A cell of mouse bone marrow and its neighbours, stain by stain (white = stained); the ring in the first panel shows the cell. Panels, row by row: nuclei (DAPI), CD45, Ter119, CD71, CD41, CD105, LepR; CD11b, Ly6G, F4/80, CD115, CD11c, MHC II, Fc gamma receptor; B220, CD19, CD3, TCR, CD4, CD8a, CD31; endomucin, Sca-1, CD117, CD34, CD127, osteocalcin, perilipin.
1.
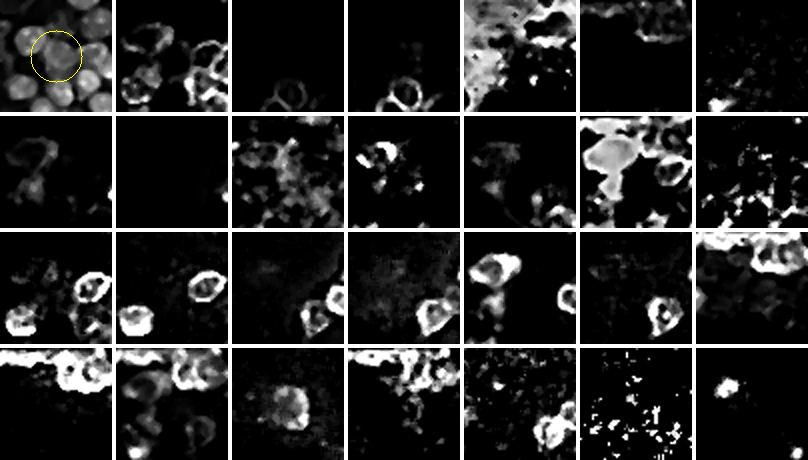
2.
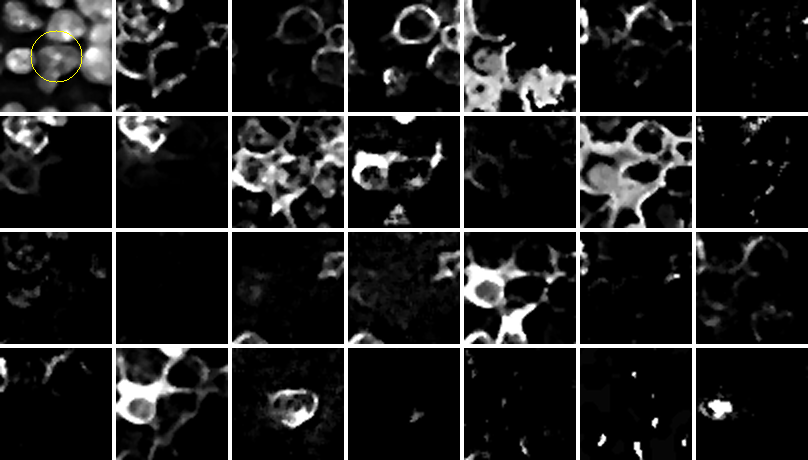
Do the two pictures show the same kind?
Yes, both are KLS stem or progenitor cells.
